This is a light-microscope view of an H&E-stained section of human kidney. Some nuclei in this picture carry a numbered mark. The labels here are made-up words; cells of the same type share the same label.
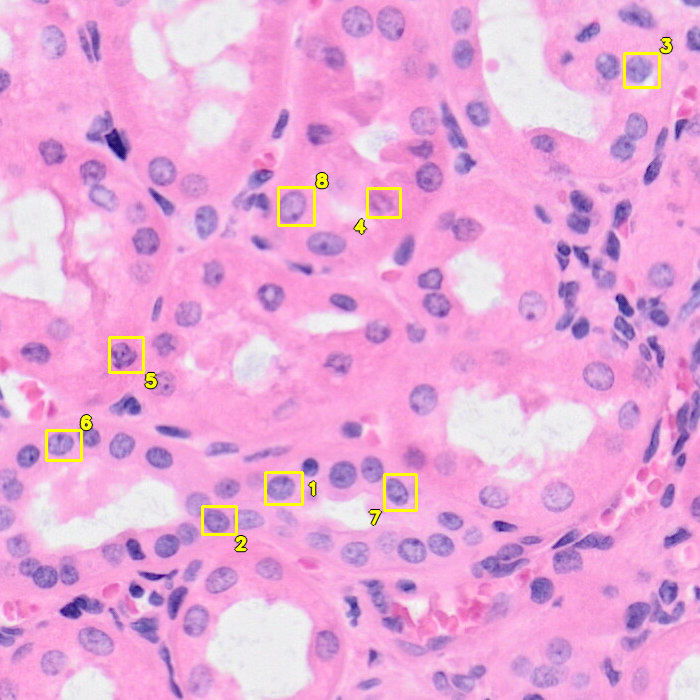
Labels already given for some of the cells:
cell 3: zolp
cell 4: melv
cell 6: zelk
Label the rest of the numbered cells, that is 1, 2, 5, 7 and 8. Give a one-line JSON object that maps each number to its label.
{"1": "zelk", "2": "zelk", "5": "melv", "7": "zelk", "8": "melv"}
